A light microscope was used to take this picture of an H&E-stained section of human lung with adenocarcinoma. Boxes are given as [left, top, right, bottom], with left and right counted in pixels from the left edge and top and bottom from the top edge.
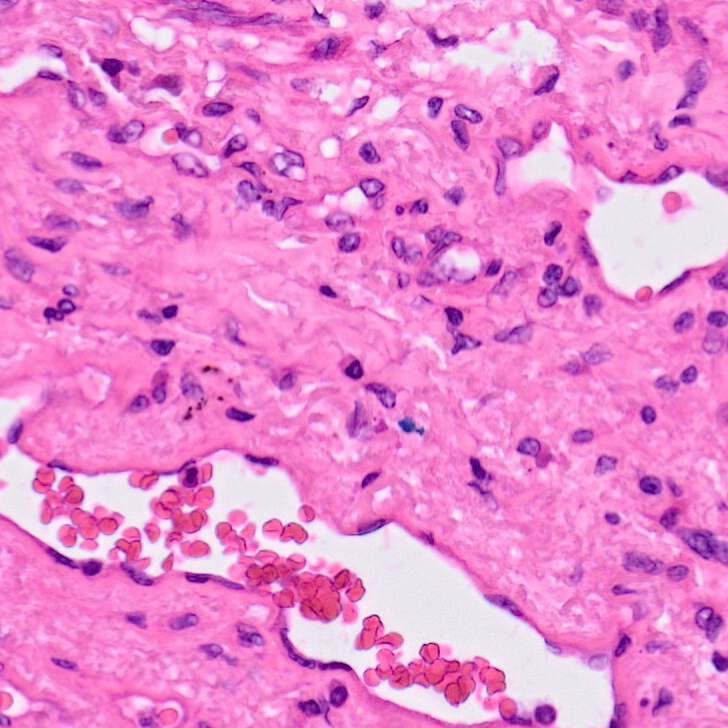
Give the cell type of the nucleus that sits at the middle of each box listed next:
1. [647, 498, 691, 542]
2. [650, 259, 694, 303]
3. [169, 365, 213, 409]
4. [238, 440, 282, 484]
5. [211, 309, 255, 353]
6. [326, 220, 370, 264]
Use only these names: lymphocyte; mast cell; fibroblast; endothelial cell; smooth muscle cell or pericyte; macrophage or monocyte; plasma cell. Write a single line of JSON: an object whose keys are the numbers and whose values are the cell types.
{"1": "plasma cell", "2": "endothelial cell", "3": "fibroblast", "4": "endothelial cell", "5": "fibroblast", "6": "mast cell"}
